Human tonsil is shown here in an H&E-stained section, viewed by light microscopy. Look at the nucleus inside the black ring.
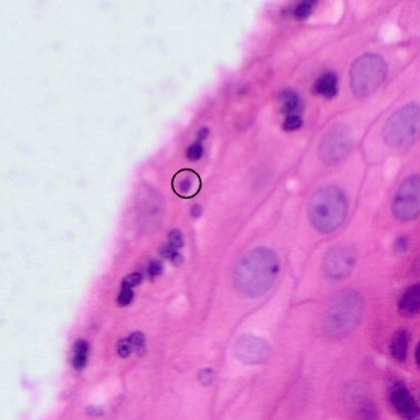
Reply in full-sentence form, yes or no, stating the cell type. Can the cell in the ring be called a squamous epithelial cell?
Yes, the cell in the ring is one that is classed as a squamous epithelial cell.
